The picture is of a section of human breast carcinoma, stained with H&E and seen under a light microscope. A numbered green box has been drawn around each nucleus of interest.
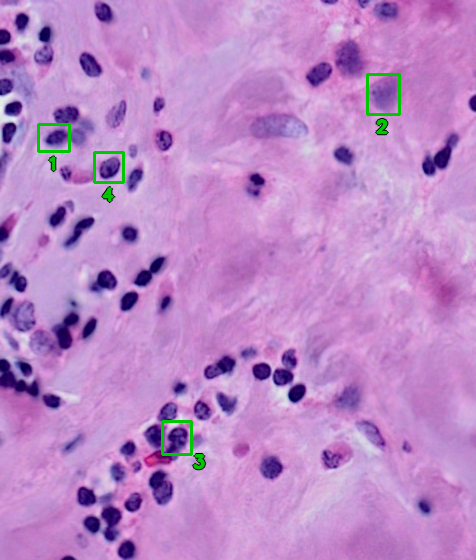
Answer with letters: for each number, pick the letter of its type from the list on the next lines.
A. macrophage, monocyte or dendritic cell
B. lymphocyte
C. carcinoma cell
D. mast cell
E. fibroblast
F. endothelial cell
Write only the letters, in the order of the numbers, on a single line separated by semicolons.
B; E; B; B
